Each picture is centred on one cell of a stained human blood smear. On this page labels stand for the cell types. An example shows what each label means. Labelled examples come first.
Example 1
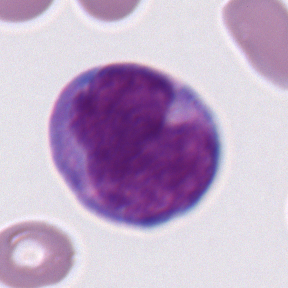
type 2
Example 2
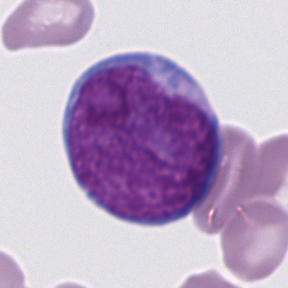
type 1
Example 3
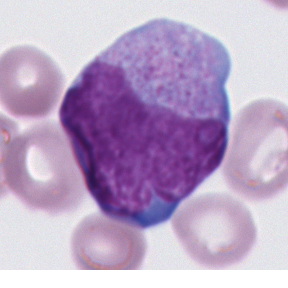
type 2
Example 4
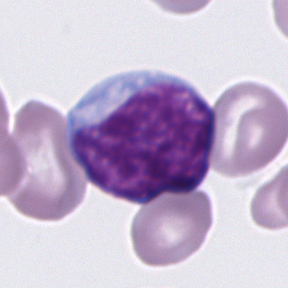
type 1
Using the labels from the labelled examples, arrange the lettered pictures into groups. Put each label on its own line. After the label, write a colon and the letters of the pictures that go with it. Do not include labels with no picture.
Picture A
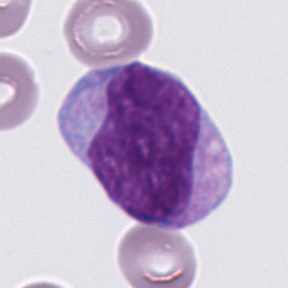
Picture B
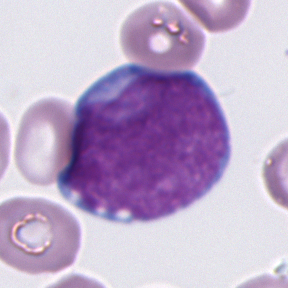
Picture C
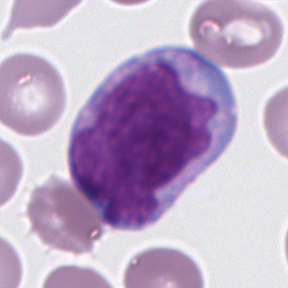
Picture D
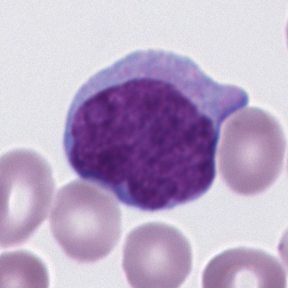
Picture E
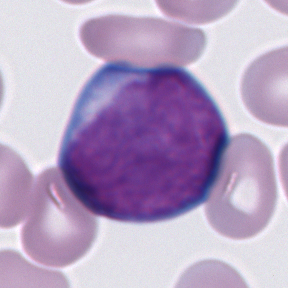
type 2: A, C, D
type 1: B, E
